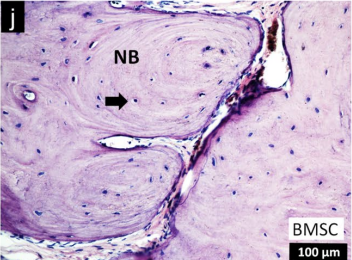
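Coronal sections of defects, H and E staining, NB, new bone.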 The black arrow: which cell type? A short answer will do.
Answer: Osteocytes.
